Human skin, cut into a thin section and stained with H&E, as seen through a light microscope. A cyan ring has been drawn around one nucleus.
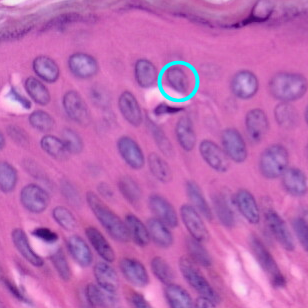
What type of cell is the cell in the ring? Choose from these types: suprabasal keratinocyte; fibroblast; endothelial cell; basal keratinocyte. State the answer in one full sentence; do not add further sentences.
The correct response here is that the cell in the ring is a suprabasal keratinocyte.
